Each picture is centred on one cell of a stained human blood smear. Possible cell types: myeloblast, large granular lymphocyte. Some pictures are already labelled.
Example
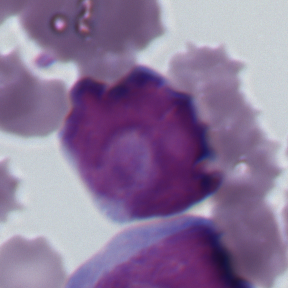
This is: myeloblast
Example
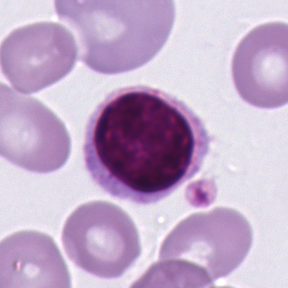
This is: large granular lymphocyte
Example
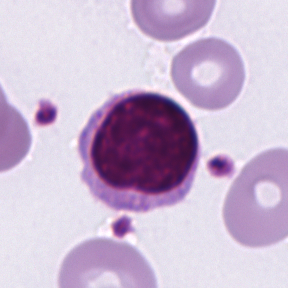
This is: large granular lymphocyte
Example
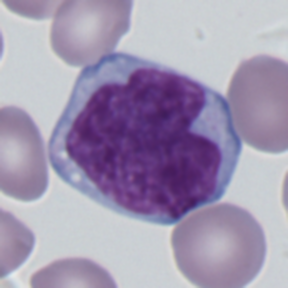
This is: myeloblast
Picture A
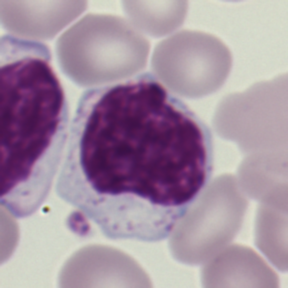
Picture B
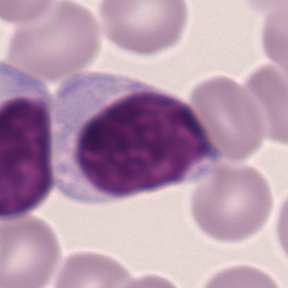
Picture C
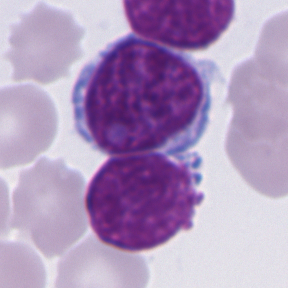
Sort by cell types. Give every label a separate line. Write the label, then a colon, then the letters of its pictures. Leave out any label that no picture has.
myeloblast: C
large granular lymphocyte: A, B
